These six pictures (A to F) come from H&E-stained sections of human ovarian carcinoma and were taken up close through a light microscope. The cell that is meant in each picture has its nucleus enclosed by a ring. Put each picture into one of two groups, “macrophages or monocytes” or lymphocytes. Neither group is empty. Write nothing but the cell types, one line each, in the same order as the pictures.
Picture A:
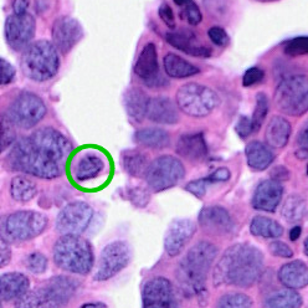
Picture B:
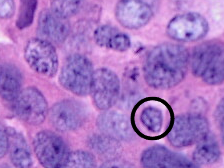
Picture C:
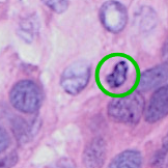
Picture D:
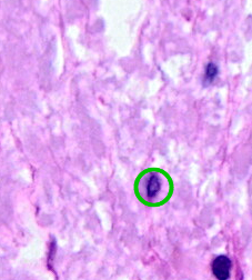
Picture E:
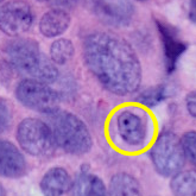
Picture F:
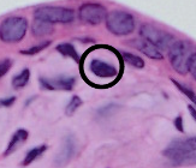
macrophage or monocyte
macrophage or monocyte
lymphocyte
macrophage or monocyte
macrophage or monocyte
lymphocyte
